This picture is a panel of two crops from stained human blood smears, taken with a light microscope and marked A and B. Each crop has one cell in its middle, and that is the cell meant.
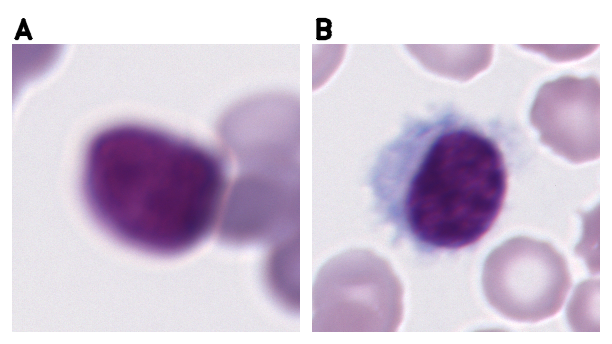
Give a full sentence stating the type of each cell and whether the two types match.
No, a smudge cell is shown in crop A and a hairy cell in crop B.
